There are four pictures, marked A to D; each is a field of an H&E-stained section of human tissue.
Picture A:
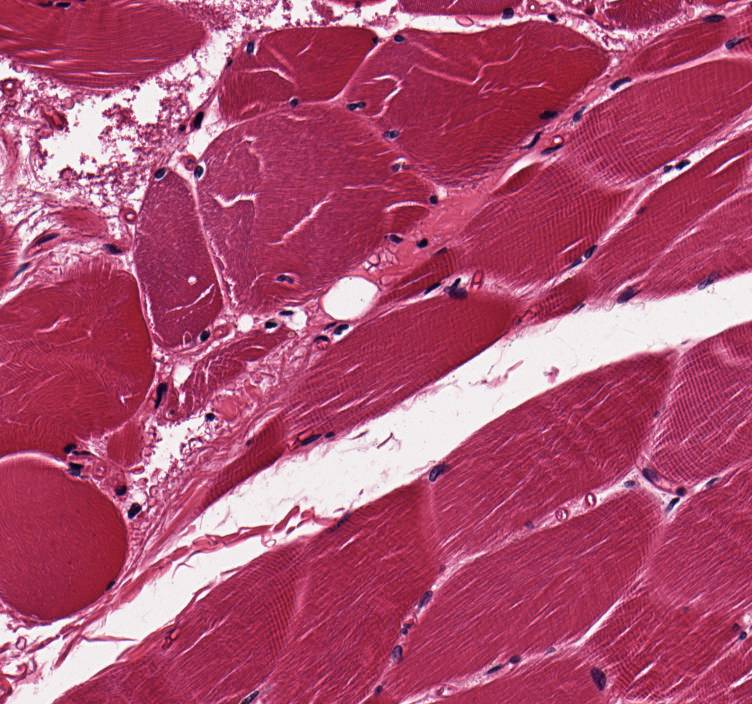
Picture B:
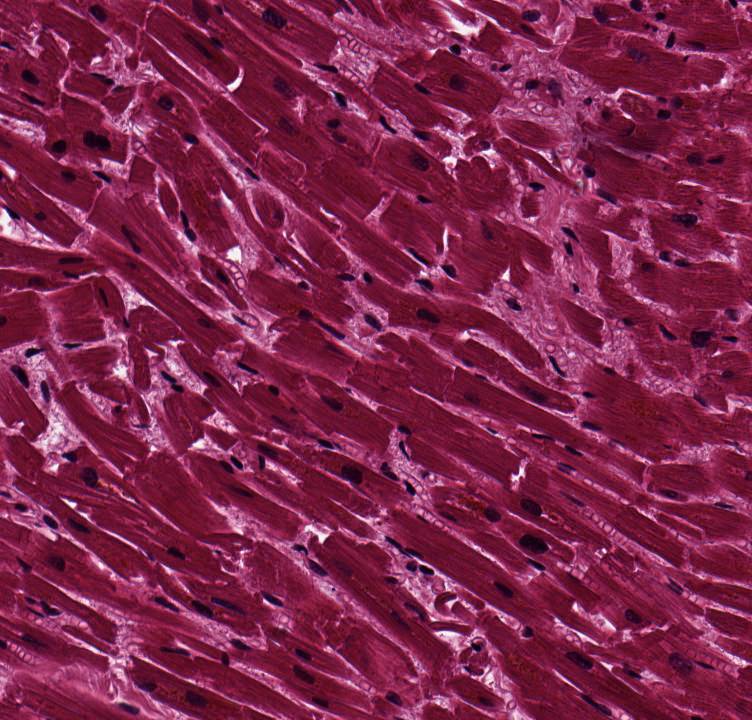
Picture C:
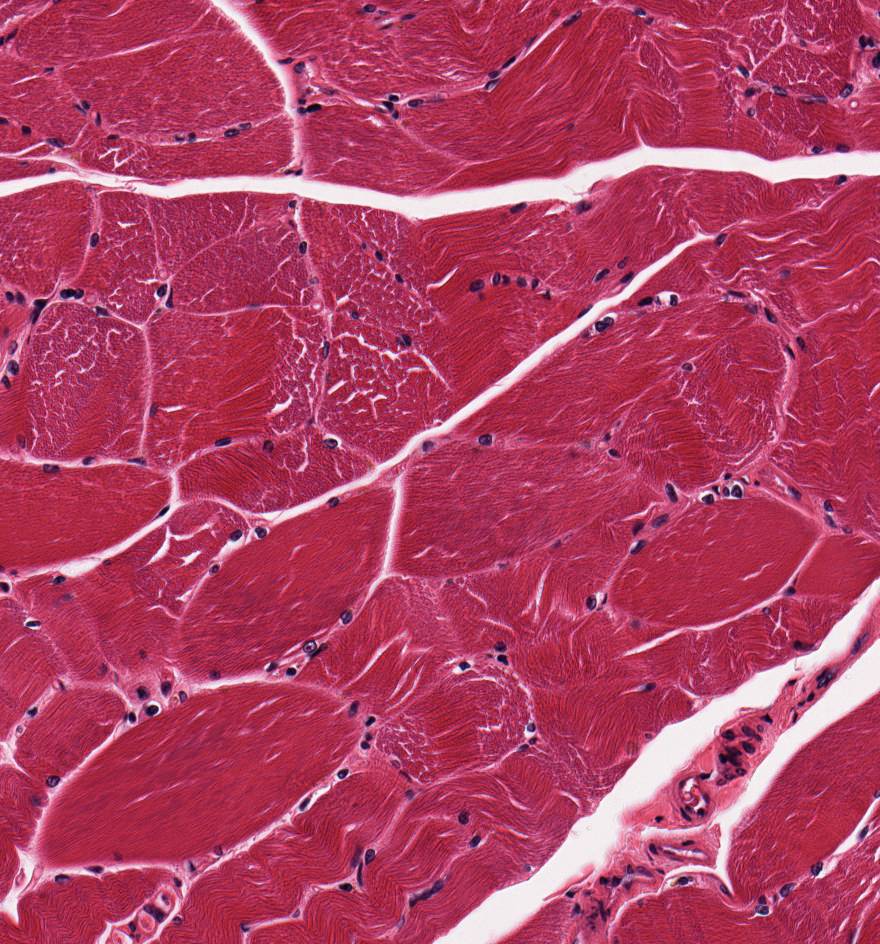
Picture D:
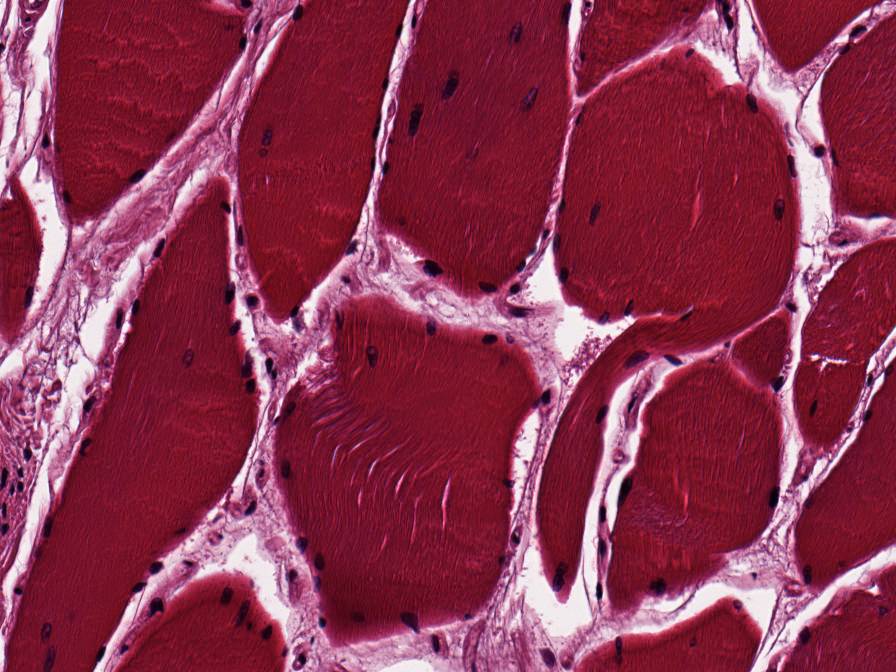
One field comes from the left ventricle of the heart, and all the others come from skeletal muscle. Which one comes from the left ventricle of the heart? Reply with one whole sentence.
The one that comes from the left ventricle of the heart is picture B.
